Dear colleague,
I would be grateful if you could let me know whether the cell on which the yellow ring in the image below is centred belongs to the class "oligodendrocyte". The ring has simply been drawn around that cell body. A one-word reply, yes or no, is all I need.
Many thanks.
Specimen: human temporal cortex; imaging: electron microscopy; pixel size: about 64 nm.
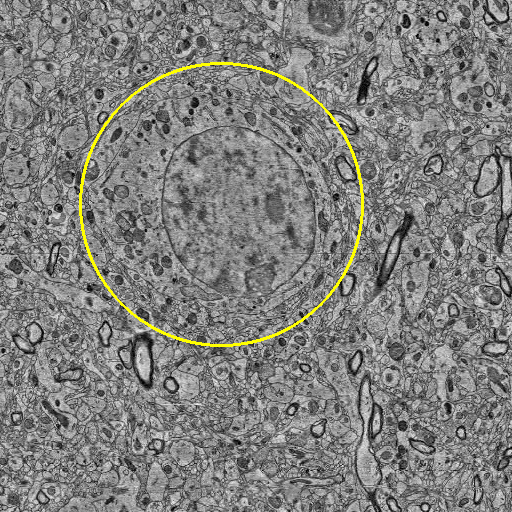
no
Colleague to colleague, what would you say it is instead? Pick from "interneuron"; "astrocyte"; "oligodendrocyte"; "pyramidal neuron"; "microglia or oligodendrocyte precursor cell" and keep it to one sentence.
Sitting at the ring centre is an interneuron.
